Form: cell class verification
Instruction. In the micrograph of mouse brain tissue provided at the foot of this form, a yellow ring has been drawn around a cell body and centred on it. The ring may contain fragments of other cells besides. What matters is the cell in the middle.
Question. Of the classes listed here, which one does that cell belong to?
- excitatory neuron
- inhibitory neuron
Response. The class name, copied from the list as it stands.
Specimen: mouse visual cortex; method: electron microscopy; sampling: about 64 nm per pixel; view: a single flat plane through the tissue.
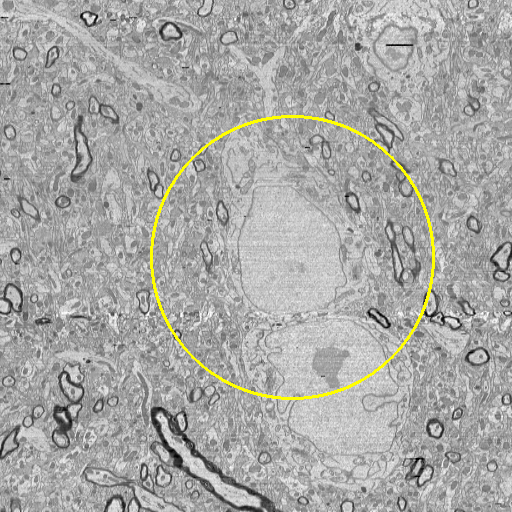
excitatory neuron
